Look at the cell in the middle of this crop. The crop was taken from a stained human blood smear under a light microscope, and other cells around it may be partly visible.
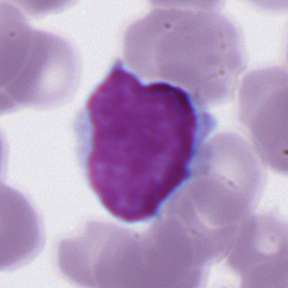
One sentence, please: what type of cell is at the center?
The cell at the middle of the crop is recognized as a lymphocyte.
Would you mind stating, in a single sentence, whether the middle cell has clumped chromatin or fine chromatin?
Its chromatin is finely dispersed rather than coarsely clumped.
